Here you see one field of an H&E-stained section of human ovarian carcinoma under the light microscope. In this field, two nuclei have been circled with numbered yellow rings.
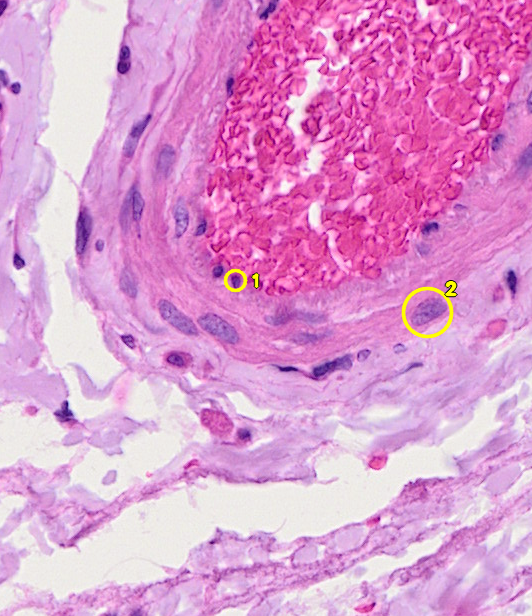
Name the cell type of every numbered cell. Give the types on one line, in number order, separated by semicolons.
endothelial cell; smooth muscle cell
